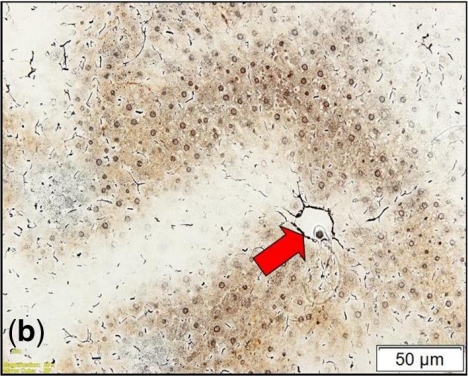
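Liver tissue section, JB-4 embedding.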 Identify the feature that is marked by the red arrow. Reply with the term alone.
Reticular fibers.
